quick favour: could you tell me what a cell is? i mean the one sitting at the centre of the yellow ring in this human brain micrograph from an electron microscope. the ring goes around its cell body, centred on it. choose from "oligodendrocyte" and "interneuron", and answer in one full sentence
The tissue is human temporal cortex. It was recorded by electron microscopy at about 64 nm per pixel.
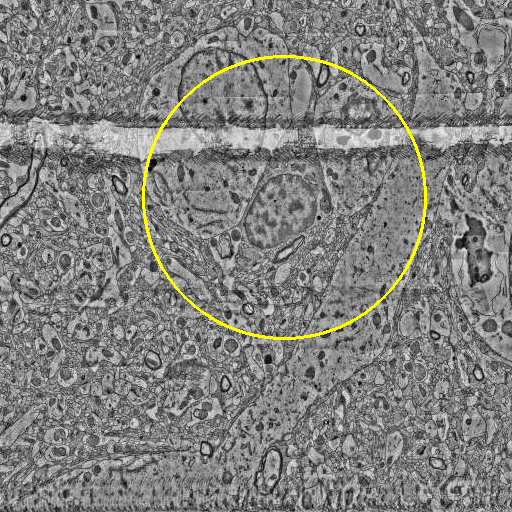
That's an oligodendrocyte, the cell sitting at the centre of the yellow ring.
